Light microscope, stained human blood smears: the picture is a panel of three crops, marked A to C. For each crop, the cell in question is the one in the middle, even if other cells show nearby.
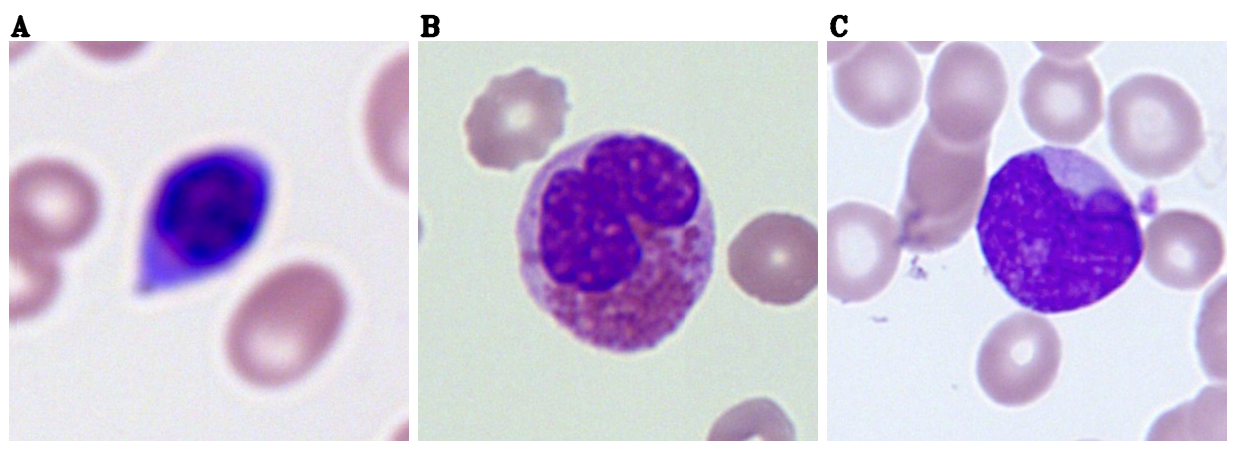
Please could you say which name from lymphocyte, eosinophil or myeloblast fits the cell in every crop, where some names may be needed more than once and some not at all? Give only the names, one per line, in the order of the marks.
lymphocyte
eosinophil
myeloblast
